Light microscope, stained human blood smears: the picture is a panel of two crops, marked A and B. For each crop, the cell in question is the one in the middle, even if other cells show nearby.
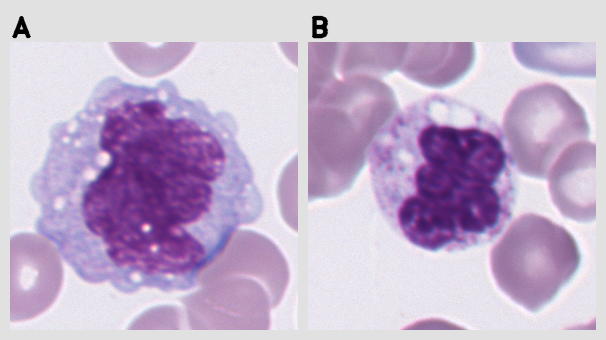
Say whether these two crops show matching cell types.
no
